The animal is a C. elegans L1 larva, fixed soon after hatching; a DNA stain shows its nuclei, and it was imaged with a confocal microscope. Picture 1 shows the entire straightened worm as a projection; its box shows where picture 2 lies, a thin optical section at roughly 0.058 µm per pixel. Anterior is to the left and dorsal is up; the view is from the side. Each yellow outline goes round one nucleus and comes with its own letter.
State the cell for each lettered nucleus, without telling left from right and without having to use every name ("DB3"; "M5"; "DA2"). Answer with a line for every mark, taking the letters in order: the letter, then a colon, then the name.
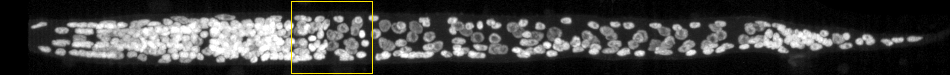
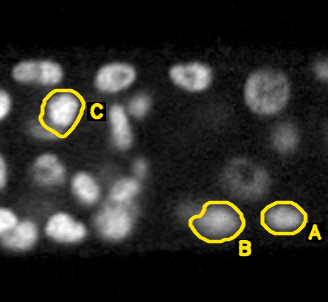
A: DA2
B: DB3
C: M5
